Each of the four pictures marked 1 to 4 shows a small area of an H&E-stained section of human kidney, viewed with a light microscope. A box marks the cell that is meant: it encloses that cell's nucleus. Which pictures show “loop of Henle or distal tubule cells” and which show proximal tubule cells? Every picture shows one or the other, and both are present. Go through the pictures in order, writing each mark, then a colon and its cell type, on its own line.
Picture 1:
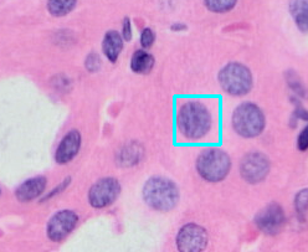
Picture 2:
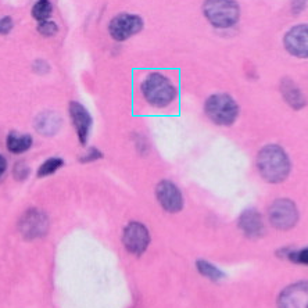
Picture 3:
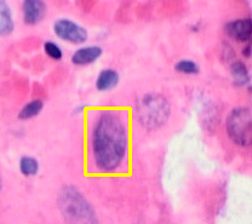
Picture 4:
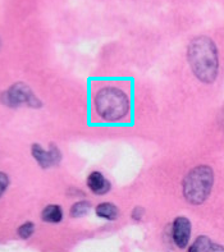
1: loop of Henle or distal tubule cell
2: loop of Henle or distal tubule cell
3: proximal tubule cell
4: proximal tubule cell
